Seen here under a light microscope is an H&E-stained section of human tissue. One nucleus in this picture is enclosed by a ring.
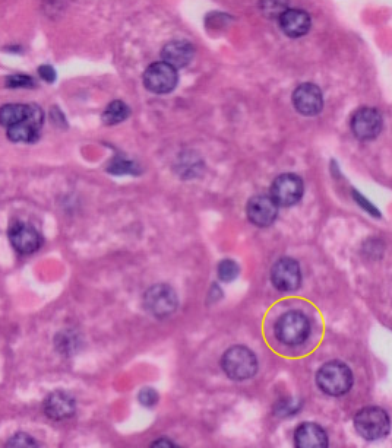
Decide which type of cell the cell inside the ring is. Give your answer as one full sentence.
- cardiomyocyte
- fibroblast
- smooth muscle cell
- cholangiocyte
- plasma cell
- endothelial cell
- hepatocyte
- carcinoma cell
The cell meant here is a hepatocyte.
